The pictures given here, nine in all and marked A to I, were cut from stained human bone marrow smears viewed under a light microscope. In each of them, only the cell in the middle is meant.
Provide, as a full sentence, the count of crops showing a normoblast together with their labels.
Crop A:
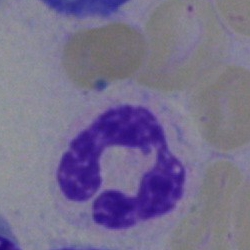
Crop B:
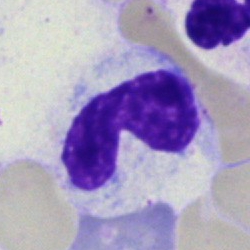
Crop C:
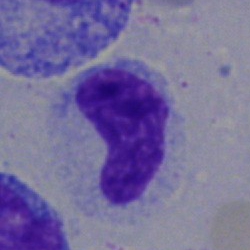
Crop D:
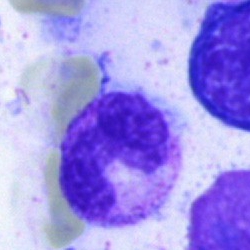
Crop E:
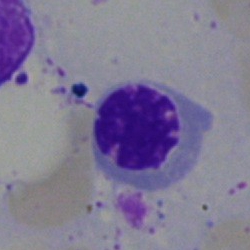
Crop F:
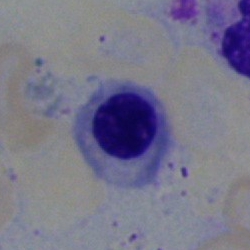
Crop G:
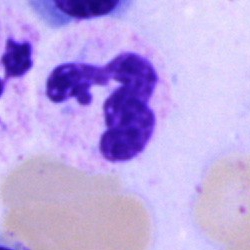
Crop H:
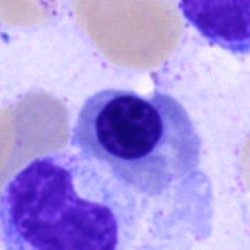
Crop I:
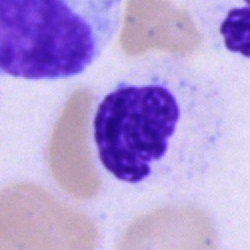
Taken together, crops E, F and H make up the three that show normoblasts.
